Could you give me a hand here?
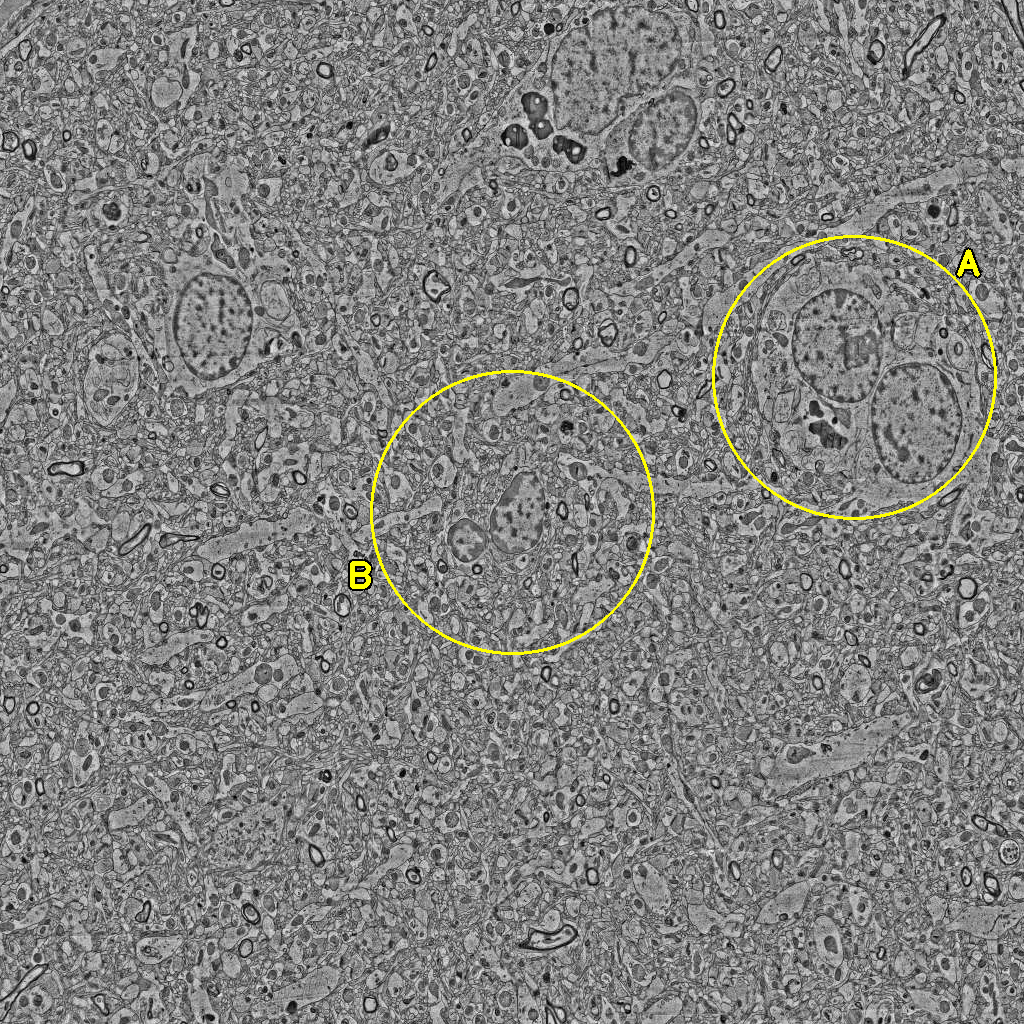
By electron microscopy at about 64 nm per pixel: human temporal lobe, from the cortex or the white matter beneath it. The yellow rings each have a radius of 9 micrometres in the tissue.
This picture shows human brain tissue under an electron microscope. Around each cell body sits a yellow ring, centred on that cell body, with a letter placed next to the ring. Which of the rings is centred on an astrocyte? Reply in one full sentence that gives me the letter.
The cell asked for sits at the centre of ring A in the picture.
